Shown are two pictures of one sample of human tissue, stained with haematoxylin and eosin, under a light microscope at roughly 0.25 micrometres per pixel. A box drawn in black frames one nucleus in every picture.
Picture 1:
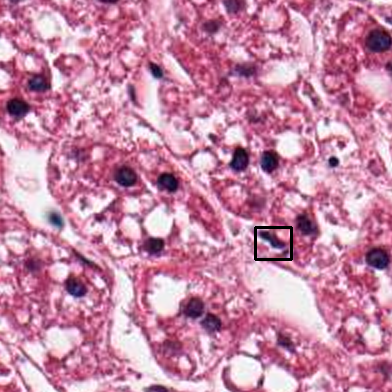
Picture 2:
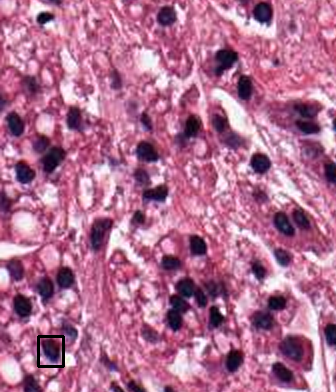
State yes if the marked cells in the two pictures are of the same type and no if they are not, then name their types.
No, the first is an endothelial cell and the second an adrenal cortical cell.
